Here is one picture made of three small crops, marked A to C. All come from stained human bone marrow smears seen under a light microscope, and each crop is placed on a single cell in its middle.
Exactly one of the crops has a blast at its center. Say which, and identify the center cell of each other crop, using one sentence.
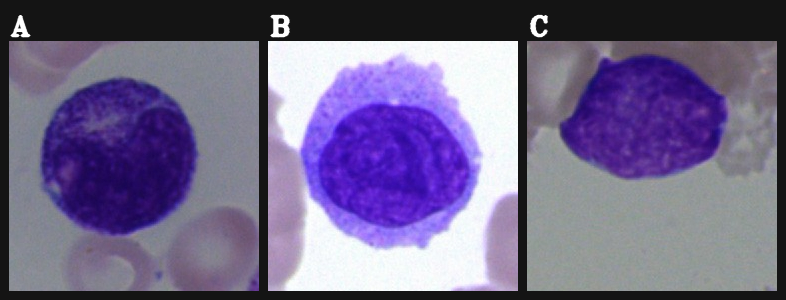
Going crop by crop, crop C is a blast, while crop A is a promyelocyte and crop B is a monocyte.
